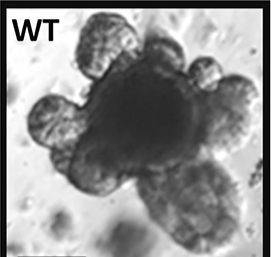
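Intestinal epithelial organoid seen whole in an unstained brightfield image, with a dark central body and several rounded buds. The buds bulge outward from the central body and have a lobulated, slightly granular outline. The dense central region is too opaque for single cells to be made out. The organoid lies in a pale, faintly textured background.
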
